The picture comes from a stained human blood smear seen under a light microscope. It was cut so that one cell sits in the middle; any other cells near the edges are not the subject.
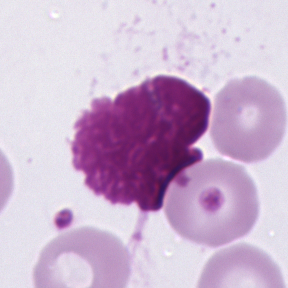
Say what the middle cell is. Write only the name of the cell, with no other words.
smudge cell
